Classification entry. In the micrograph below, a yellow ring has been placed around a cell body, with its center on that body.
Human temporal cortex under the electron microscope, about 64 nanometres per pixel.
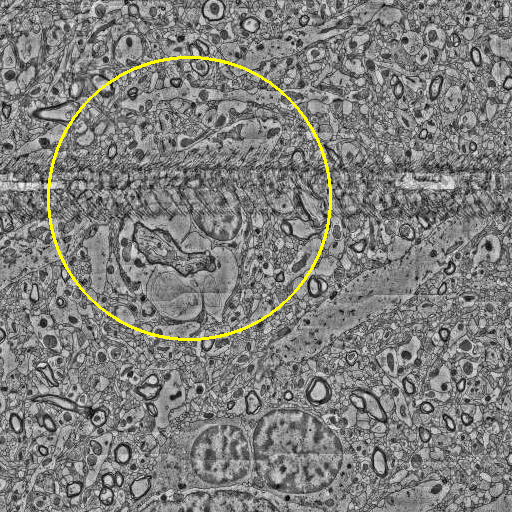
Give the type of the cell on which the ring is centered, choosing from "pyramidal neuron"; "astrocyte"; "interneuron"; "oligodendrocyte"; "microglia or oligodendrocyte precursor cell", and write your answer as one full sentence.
The cell body at the center of the yellow ring belongs to a microglial cell or oligodendrocyte precursor cell.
